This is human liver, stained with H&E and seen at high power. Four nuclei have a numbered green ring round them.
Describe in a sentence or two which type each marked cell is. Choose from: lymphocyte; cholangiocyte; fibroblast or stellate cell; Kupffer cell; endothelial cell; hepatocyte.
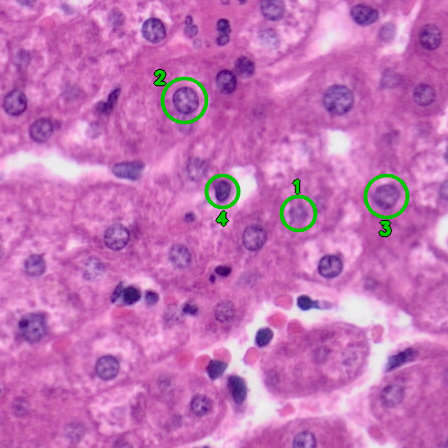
Cells 1, 2 and 3 are hepatocytes. Cell 4 is a Kupffer cell.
